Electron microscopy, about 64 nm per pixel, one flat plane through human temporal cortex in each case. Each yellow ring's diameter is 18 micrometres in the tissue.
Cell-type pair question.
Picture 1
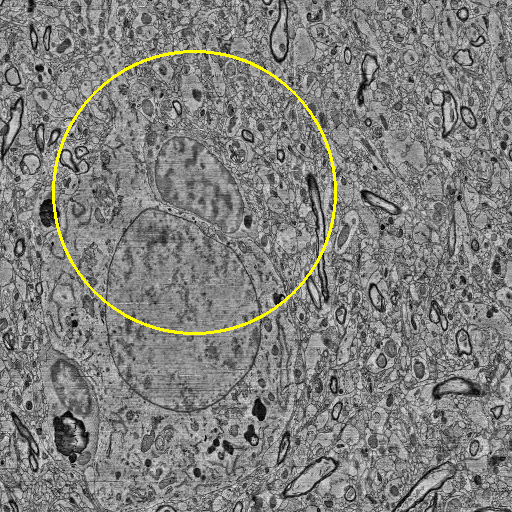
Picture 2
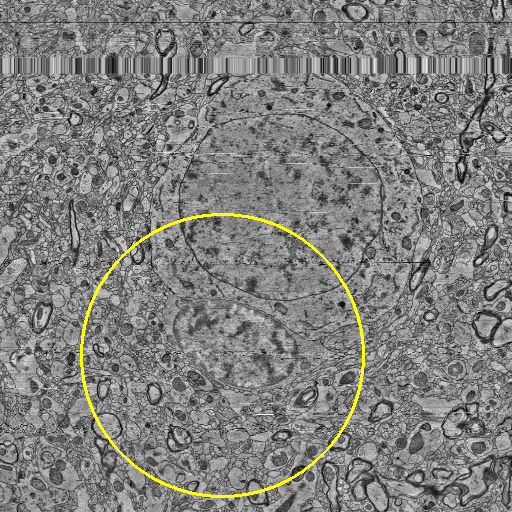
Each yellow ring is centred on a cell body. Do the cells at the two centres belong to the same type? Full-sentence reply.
Yes, the two cells belong to the same type.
